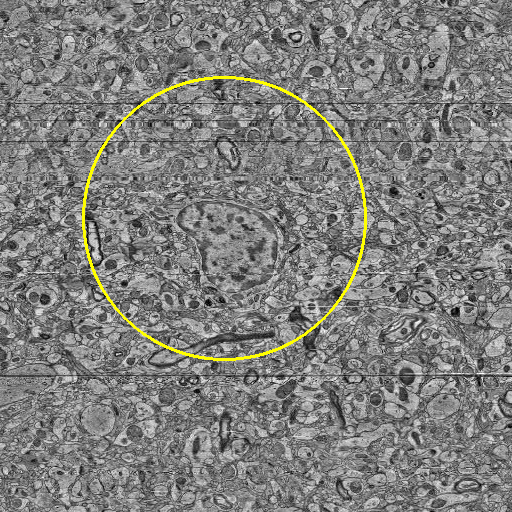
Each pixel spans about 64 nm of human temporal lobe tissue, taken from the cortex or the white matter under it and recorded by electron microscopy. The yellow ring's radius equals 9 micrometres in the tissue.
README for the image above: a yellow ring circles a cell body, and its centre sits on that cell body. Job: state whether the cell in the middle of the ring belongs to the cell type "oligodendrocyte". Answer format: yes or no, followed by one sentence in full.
No, in the image, the ring's central cell belongs to another type.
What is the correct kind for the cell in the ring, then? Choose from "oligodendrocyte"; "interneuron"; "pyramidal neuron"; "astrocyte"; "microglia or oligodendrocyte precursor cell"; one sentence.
This picture has a microglial cell or oligodendrocyte precursor cell at the centre of its ring.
